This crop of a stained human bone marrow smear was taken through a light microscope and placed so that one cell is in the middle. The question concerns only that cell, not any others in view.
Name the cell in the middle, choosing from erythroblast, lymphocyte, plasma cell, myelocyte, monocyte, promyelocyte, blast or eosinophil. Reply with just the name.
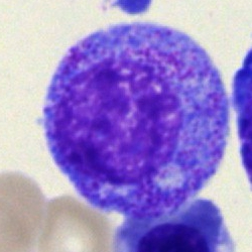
myelocyte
